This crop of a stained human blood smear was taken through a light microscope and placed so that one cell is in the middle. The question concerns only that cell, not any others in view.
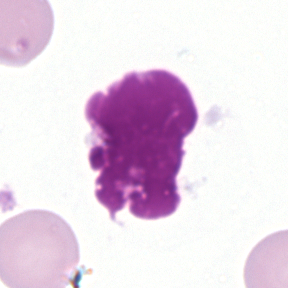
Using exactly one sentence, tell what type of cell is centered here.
The cell centered in this field of view is a smudge cell.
